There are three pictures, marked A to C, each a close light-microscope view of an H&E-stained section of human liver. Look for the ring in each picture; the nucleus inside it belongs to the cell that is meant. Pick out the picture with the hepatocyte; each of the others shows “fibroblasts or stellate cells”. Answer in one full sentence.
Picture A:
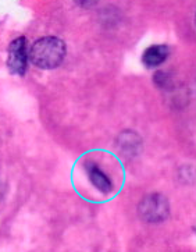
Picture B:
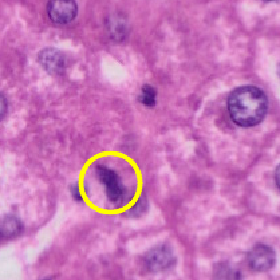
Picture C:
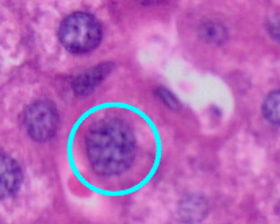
The picture with the hepatocyte is C.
